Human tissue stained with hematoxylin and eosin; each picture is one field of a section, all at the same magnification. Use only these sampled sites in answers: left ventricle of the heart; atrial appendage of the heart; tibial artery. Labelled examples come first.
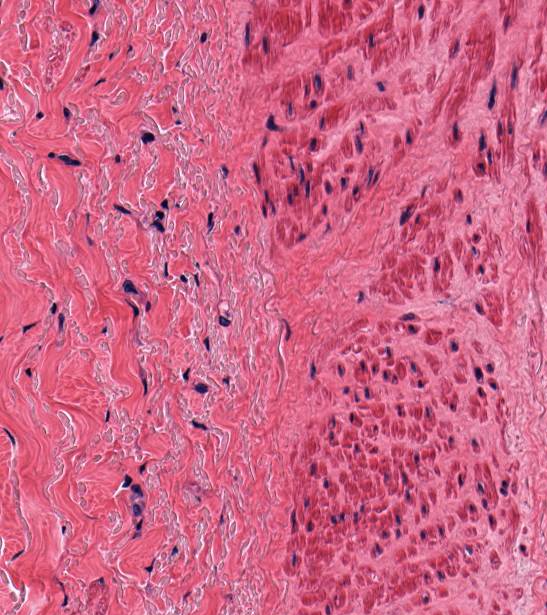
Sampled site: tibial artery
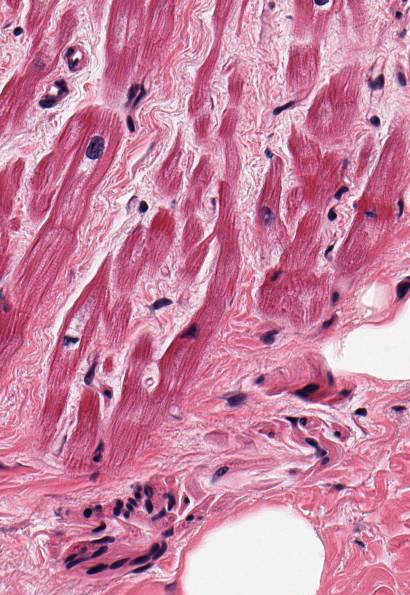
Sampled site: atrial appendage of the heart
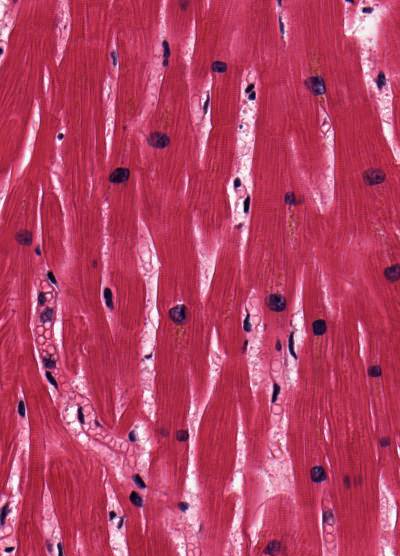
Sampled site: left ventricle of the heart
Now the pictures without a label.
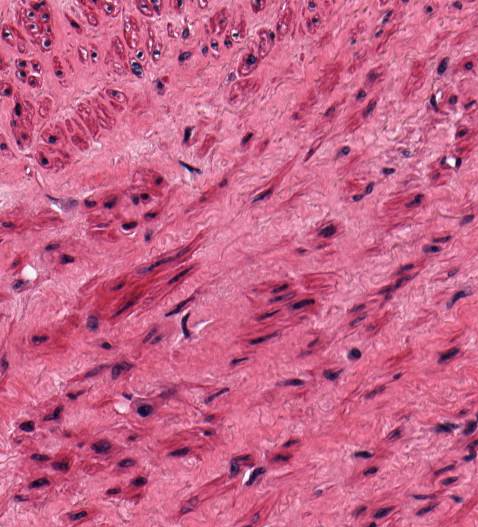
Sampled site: tibial artery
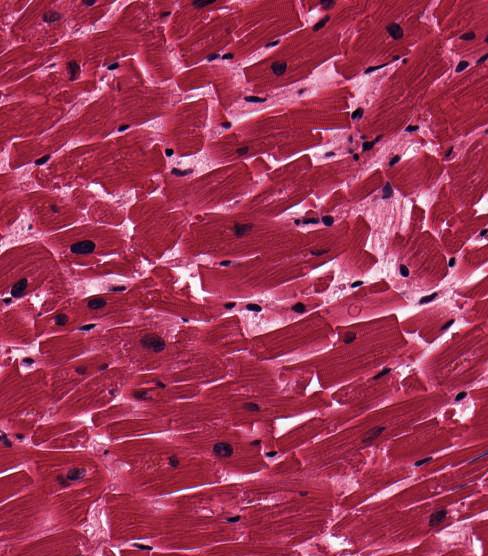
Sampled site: left ventricle of the heart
